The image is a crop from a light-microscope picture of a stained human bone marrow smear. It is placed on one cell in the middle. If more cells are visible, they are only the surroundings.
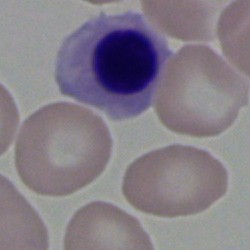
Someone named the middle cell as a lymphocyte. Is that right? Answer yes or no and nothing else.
no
